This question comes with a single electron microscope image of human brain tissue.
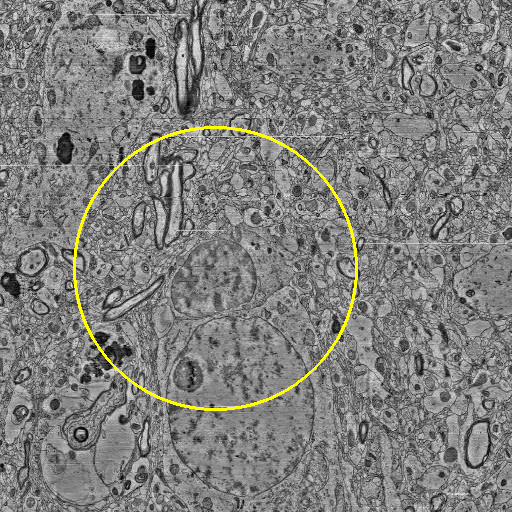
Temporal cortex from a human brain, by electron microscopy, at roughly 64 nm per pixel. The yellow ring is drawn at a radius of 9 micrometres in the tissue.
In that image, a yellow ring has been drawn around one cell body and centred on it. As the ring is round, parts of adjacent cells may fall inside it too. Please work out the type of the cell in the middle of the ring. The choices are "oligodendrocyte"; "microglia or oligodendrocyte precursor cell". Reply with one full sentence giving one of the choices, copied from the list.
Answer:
Of the choices, an oligodendrocyte is the cell sitting in the middle of the ring.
